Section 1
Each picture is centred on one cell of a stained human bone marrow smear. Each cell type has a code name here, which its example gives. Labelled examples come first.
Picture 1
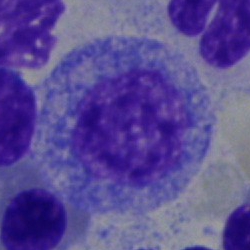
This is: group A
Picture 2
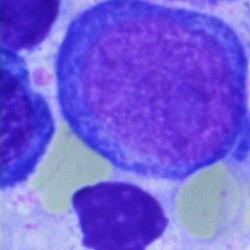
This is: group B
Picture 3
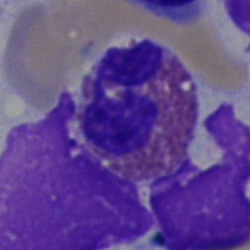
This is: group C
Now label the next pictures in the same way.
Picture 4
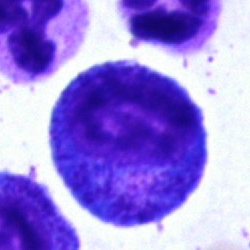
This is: group A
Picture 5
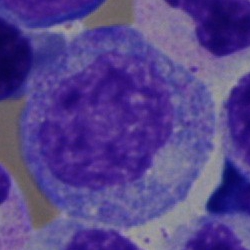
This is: group A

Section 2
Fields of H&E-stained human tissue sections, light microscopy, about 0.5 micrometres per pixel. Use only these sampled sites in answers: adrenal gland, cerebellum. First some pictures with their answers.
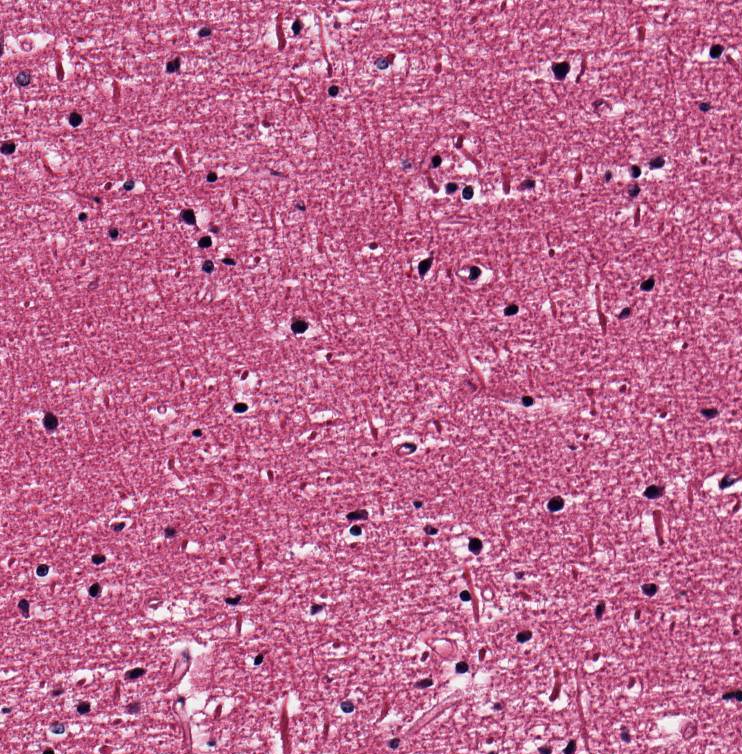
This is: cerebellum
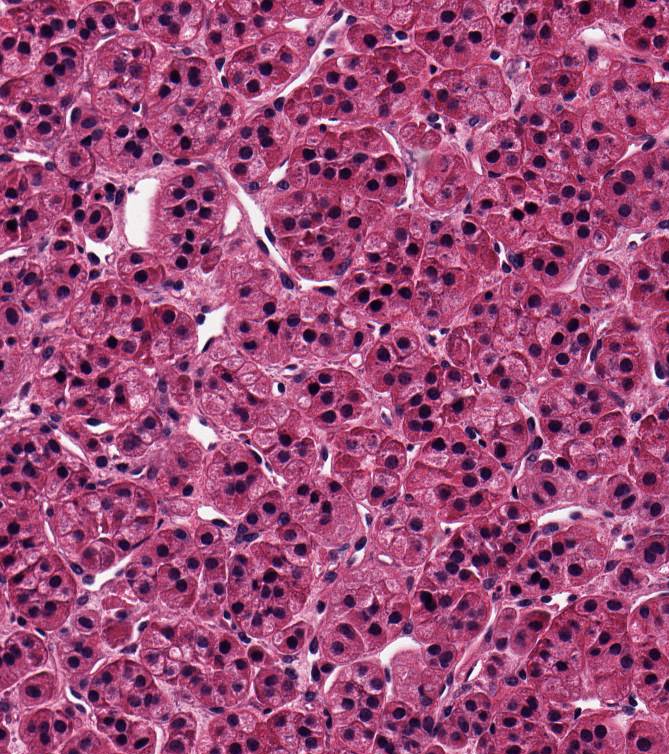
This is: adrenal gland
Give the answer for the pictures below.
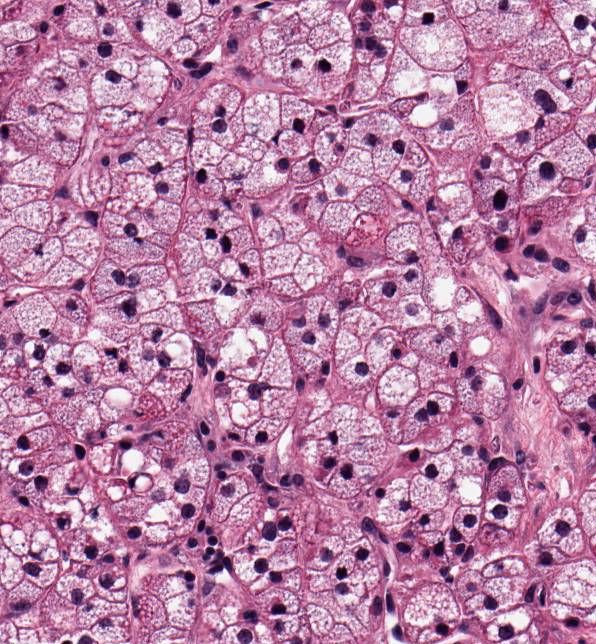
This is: adrenal gland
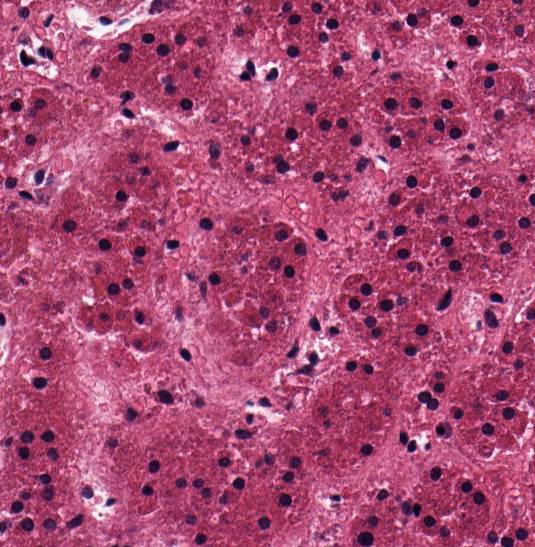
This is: adrenal gland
